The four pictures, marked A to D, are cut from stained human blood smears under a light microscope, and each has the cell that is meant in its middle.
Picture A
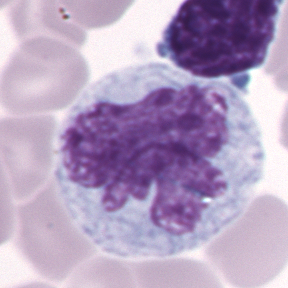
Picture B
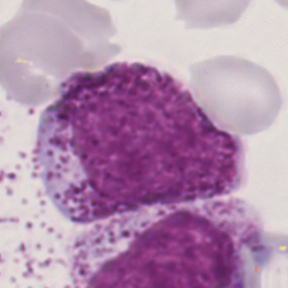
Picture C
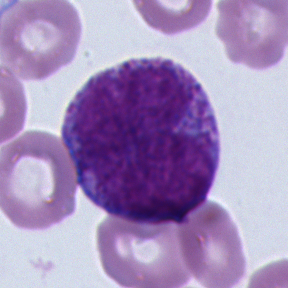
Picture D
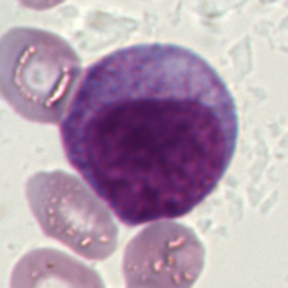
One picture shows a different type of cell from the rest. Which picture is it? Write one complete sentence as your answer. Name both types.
Unlike the rest, which show promyelocytes, picture A shows a monocyte.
